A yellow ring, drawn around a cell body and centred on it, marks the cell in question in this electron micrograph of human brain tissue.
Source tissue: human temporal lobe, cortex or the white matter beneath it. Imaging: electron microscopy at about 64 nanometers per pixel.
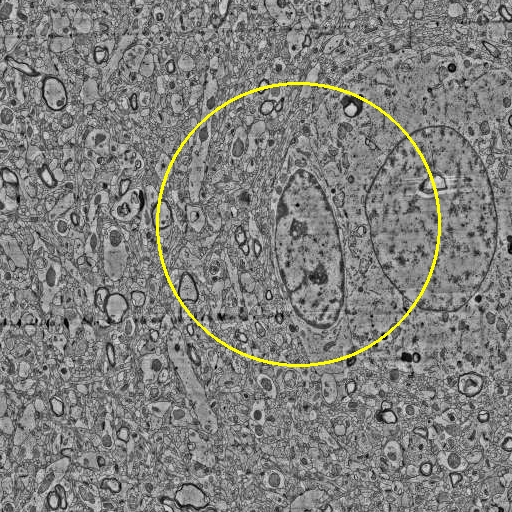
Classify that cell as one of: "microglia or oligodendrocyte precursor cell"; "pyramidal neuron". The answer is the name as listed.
microglia or oligodendrocyte precursor cell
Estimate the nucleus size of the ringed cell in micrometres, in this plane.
Roughly 10 micrometres long and 4 micrometres wide; in this plane the nucleus is clearly longer than it is wide.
